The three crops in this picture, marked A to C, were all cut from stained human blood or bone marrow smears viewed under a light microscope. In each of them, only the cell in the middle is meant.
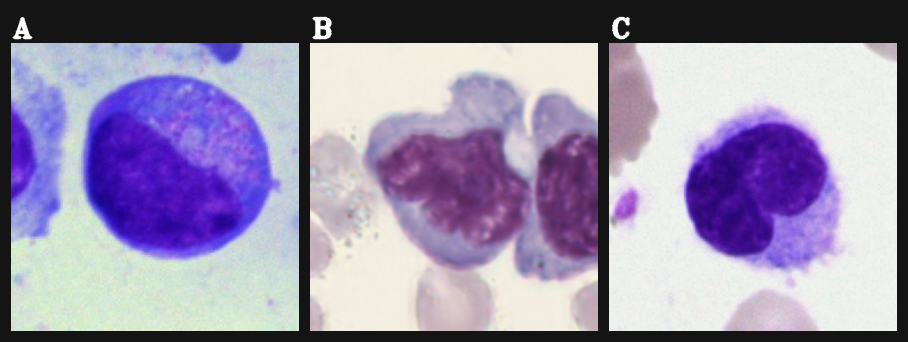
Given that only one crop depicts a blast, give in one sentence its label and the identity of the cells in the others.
Crop A corresponds to a blast, while crop B is a plasma cell and crop C is a hairy cell.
